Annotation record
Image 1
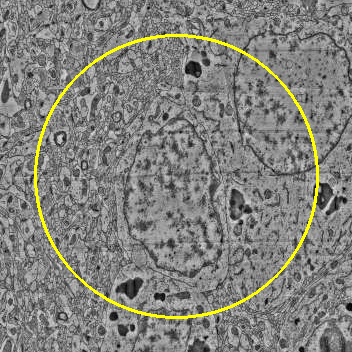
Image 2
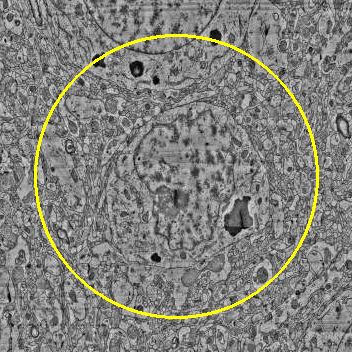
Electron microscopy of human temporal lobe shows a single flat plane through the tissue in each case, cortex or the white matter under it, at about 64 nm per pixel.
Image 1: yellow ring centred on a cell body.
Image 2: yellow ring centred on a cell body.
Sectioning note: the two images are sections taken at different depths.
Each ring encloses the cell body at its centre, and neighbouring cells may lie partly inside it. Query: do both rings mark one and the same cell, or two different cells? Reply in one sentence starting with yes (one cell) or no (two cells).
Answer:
No, two different cells appear inside the two yellow rings.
